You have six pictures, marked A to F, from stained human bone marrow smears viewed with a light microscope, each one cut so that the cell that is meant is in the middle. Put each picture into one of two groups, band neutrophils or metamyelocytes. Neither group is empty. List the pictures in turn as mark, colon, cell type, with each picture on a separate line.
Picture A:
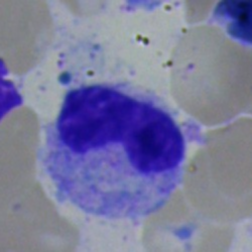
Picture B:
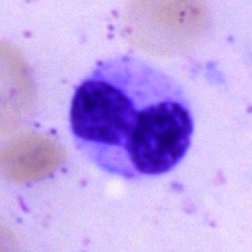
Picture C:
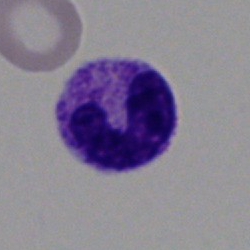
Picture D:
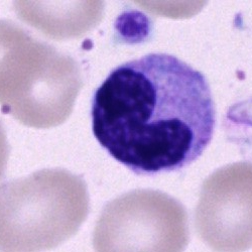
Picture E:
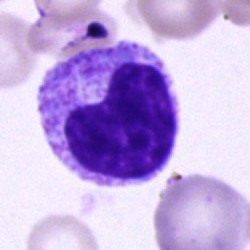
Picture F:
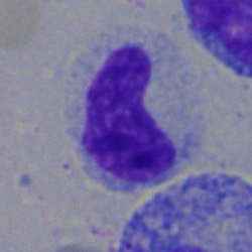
A: metamyelocyte
B: band neutrophil
C: band neutrophil
D: band neutrophil
E: metamyelocyte
F: band neutrophil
